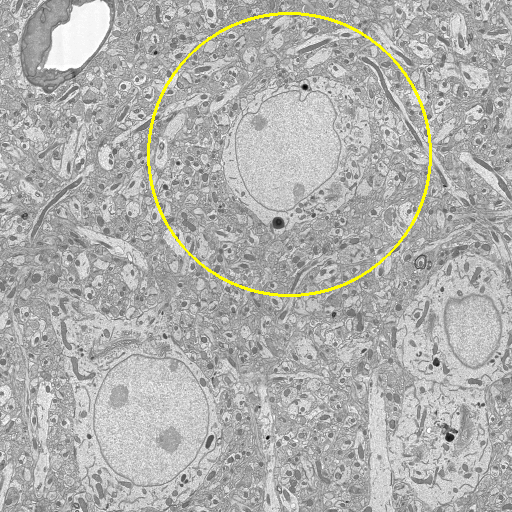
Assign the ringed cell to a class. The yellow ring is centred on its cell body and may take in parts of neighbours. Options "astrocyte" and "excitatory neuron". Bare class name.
excitatory neuron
